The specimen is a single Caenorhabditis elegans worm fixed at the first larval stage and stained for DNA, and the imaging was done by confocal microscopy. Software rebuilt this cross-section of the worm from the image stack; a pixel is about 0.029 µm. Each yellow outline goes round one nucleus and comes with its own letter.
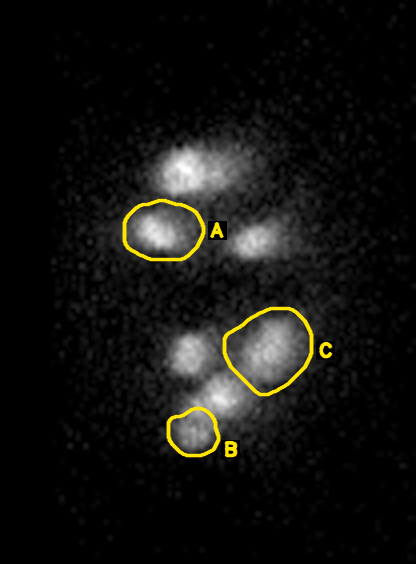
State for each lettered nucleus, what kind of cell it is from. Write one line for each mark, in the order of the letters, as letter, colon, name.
A: pharyngeal muscle cell
B: hypodermal cell (hyp)
C: body wall muscle cell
